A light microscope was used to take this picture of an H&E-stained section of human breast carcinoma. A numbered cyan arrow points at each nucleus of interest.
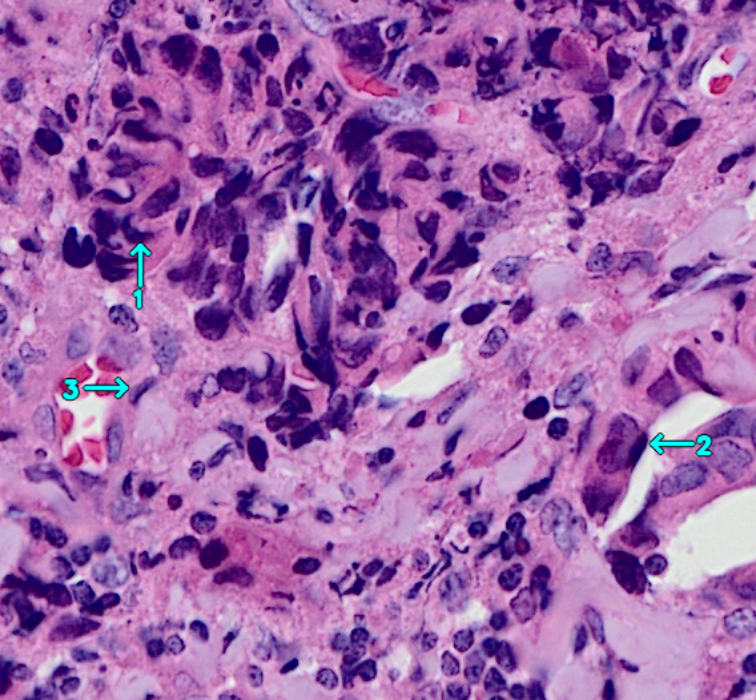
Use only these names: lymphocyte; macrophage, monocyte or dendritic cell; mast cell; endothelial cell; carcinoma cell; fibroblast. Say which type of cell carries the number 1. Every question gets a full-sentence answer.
Cell 1 of the marked set is a carcinoma cell.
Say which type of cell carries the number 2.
Among the marked cells, number 2 is a carcinoma cell.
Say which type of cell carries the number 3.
Cell 3 in the field of view is an endothelial cell.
